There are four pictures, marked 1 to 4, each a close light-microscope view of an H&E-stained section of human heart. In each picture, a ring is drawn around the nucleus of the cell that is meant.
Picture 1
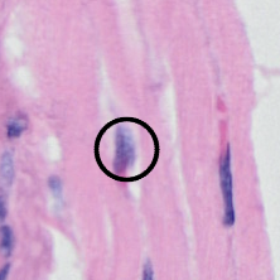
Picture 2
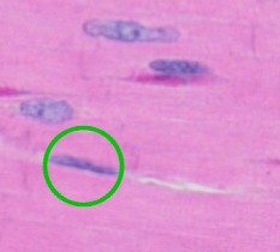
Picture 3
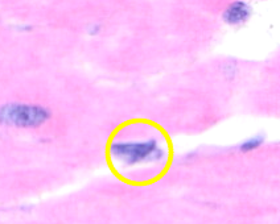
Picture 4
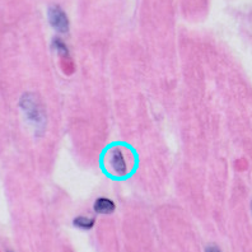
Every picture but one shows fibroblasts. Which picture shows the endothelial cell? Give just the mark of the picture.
1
